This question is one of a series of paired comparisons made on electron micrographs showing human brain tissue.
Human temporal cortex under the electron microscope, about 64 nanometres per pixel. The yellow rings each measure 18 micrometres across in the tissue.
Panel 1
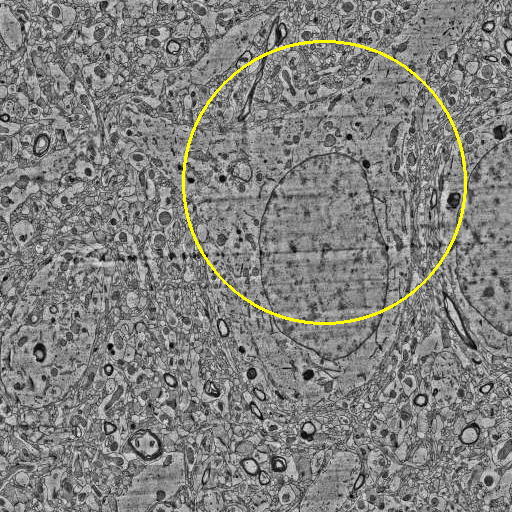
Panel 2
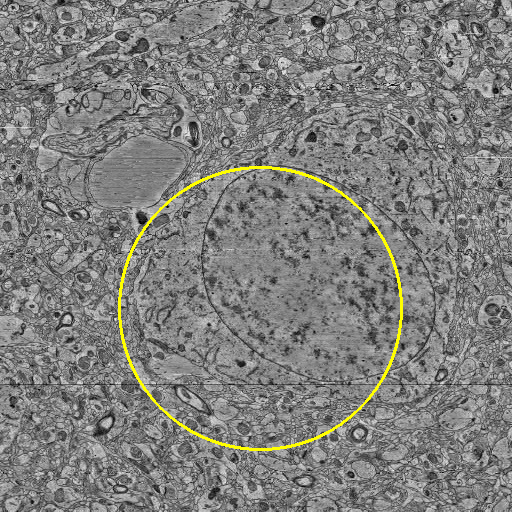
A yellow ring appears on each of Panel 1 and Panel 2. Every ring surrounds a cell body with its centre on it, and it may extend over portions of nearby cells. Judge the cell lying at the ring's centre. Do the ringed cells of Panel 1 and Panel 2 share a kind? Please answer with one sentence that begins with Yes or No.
Yes, the ring-centre cell in Panel 1 and the one in Panel 2 are of one kind.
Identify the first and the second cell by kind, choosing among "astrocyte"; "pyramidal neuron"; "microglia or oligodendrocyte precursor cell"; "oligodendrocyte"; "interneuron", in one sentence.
Each cell at the centre of a ring is a pyramidal neuron.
